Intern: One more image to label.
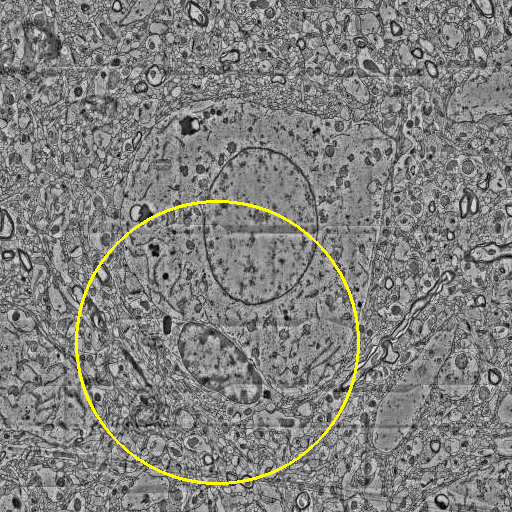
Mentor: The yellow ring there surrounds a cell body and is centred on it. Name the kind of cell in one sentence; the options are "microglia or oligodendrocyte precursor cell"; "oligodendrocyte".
The ring marks the cell body of a microglial cell or oligodendrocyte precursor cell.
